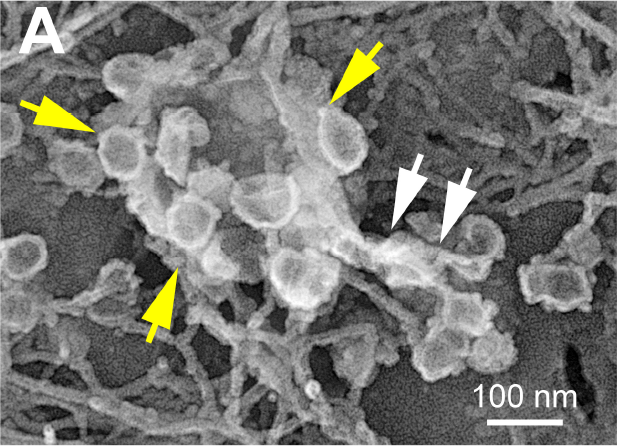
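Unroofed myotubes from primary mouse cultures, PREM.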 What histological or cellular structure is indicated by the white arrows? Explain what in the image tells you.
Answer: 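Beaded tubes. An elongated membrane extension leaves the cluster of round pits. Its outline is lumpy rather than smooth.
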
